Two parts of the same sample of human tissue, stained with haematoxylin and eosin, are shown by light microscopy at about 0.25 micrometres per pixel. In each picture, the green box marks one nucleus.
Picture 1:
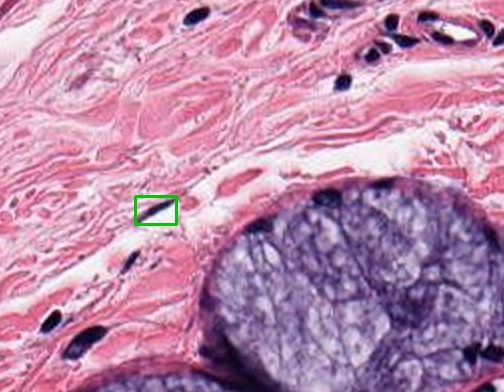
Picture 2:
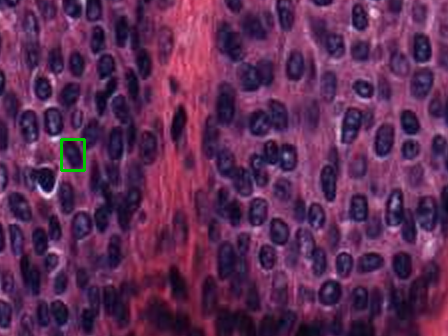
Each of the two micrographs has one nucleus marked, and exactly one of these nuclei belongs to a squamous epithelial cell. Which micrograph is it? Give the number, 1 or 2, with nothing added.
2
